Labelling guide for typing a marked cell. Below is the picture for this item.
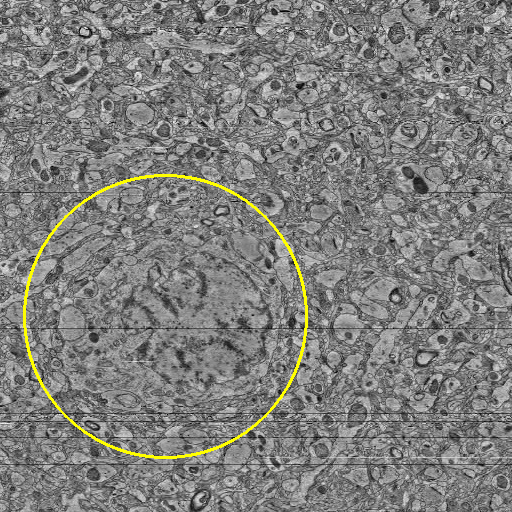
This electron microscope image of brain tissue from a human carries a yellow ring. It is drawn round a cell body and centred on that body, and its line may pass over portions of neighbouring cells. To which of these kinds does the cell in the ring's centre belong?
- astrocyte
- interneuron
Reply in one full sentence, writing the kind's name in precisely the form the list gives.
Here we have an interneuron at the centre of the yellow ring in the picture.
